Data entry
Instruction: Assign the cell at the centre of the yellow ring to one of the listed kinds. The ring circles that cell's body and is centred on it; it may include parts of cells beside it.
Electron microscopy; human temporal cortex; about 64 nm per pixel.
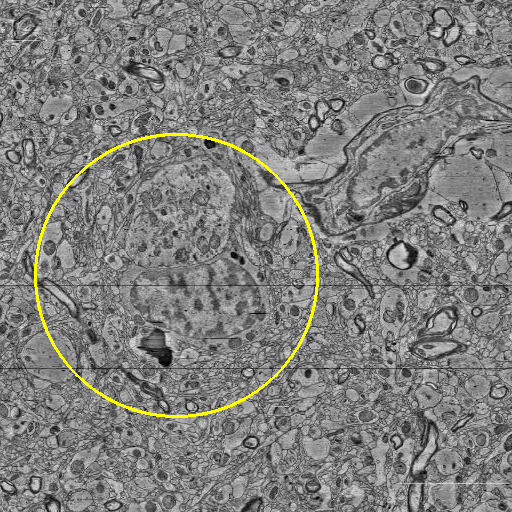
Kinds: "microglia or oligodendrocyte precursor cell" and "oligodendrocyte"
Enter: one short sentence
The centre of the ring falls on an oligodendrocyte.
